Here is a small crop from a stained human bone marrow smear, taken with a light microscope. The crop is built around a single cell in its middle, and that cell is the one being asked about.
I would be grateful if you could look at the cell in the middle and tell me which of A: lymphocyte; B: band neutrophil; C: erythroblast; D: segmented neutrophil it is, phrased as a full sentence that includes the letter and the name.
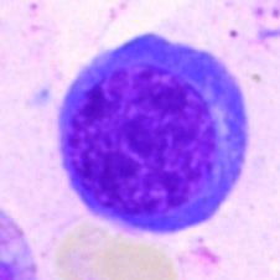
The cell placed in the middle is an erythroblast; option C is correct.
